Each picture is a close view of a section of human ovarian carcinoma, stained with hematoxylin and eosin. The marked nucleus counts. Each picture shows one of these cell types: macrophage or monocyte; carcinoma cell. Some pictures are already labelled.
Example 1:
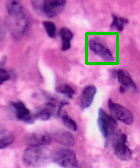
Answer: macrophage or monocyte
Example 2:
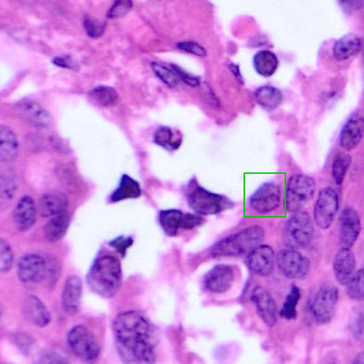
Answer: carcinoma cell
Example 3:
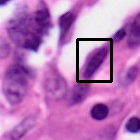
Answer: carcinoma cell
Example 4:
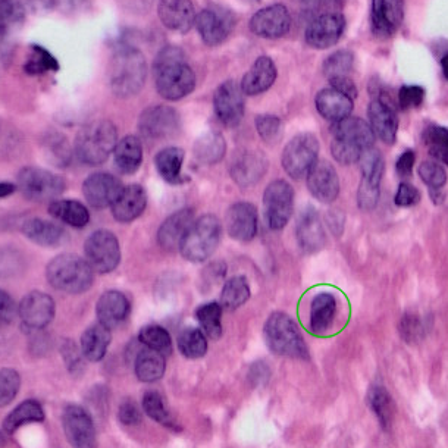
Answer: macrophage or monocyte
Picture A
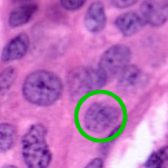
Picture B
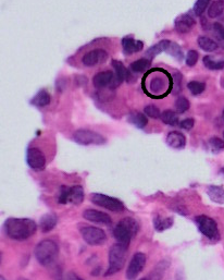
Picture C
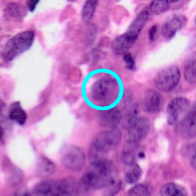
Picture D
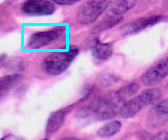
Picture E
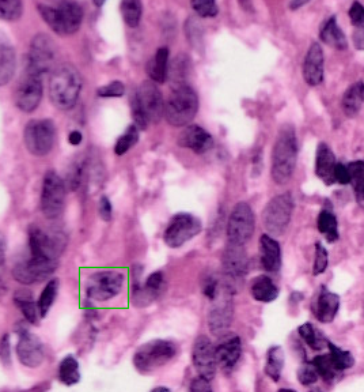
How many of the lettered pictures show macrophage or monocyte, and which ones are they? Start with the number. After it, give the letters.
1: E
